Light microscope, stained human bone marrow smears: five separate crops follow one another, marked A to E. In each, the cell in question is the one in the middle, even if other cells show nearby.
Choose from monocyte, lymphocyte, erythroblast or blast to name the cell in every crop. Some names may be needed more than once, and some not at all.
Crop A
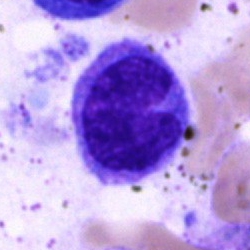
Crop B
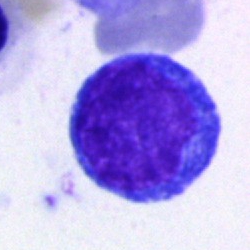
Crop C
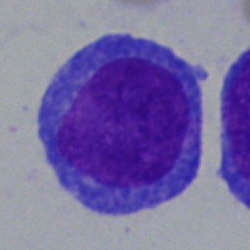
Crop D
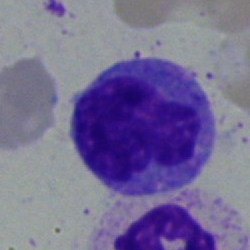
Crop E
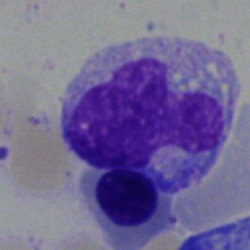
A: monocyte
B: lymphocyte
C: blast
D: monocyte
E: monocyte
